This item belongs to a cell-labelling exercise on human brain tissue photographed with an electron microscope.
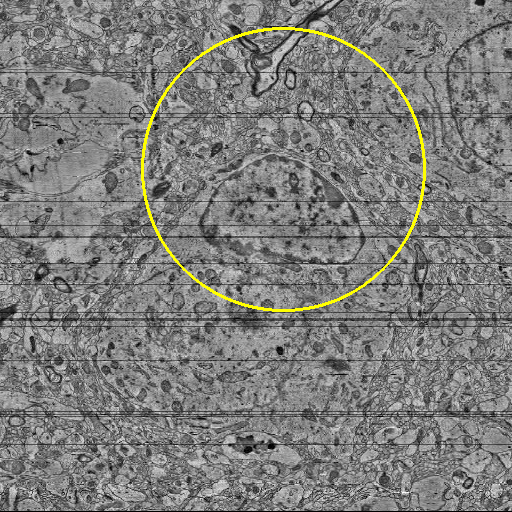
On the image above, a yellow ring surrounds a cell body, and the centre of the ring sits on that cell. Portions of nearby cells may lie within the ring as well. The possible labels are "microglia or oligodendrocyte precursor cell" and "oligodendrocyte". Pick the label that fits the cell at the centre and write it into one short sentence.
This cell should be labelled as a microglial cell or oligodendrocyte precursor cell.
